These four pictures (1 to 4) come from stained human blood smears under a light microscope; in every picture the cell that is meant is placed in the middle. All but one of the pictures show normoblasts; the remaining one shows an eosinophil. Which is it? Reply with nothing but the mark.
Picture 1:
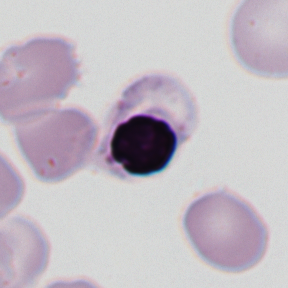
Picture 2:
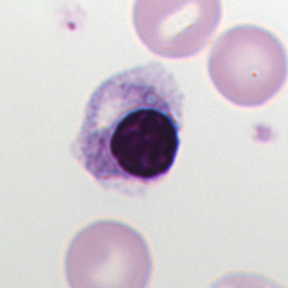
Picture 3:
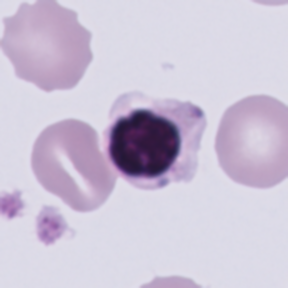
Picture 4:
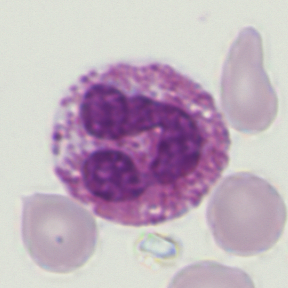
4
